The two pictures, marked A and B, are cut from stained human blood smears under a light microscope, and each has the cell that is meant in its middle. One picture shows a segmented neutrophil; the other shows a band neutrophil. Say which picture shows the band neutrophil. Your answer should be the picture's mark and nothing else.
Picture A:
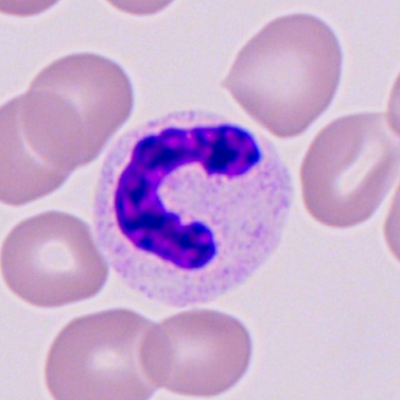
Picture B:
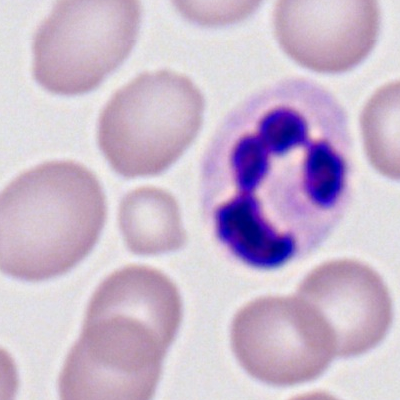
A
